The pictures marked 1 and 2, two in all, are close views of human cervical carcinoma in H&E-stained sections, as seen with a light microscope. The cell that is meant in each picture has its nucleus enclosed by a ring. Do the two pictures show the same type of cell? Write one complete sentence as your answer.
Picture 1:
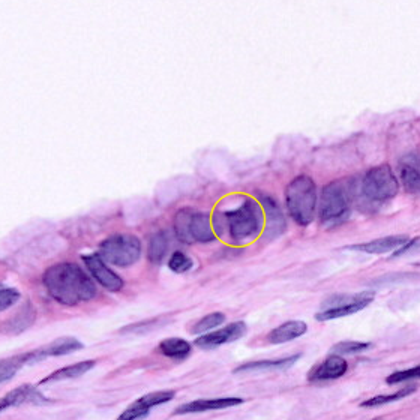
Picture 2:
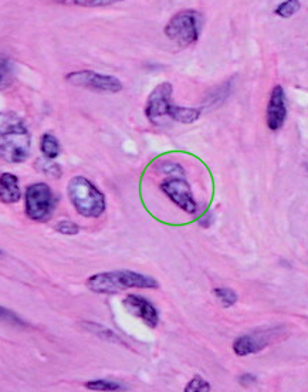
No, they differ: the cell is a secretory epithelial cell in picture 1 and an endothelial cell in picture 2.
